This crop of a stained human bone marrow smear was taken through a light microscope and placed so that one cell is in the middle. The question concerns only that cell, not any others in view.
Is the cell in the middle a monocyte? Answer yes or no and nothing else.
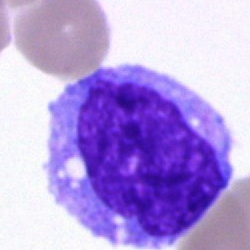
yes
